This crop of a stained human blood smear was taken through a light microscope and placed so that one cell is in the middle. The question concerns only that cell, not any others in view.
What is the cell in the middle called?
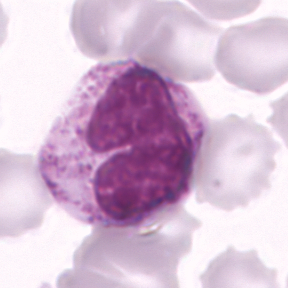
band neutrophil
